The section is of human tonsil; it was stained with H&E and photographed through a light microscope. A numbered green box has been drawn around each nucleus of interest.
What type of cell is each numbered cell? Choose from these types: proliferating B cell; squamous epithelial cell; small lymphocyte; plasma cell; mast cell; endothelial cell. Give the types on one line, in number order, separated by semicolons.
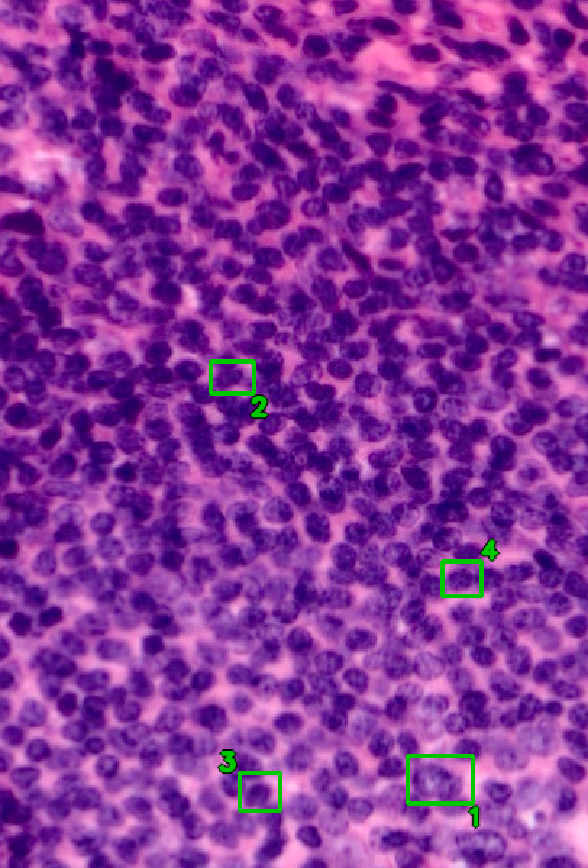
proliferating B cell; small lymphocyte; small lymphocyte; small lymphocyte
